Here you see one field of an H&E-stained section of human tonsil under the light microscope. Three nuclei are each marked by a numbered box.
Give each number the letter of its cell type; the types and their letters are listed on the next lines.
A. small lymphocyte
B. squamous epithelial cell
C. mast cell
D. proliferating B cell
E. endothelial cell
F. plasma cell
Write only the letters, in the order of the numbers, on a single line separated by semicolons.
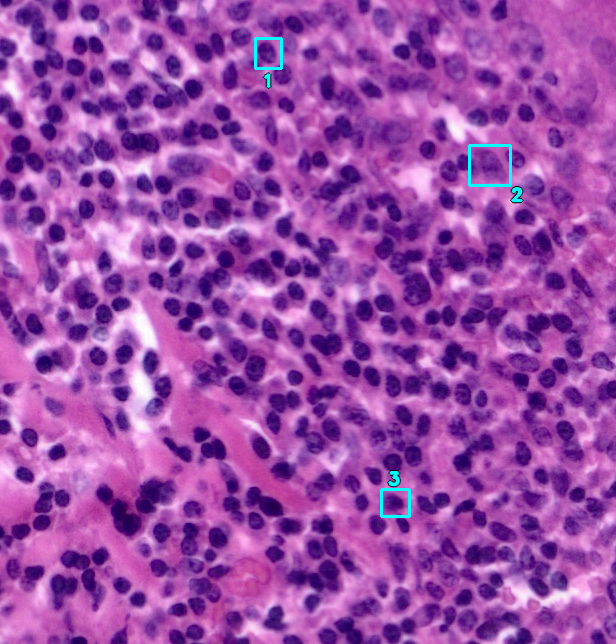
F; B; F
